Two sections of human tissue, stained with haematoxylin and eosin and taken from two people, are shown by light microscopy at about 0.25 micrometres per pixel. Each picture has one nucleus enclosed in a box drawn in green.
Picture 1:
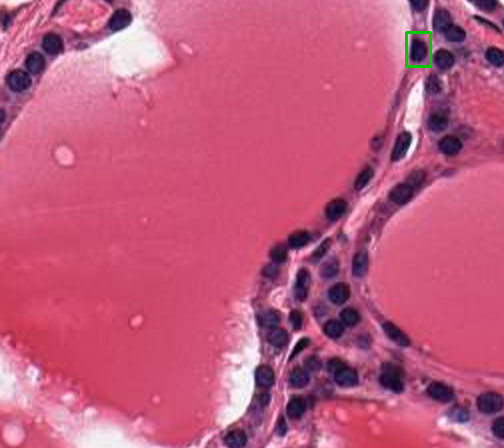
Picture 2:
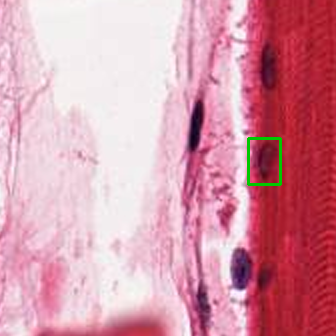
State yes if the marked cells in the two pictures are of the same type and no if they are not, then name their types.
No, the first is a thyroid follicular cell and the second a skeletal muscle fibre.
